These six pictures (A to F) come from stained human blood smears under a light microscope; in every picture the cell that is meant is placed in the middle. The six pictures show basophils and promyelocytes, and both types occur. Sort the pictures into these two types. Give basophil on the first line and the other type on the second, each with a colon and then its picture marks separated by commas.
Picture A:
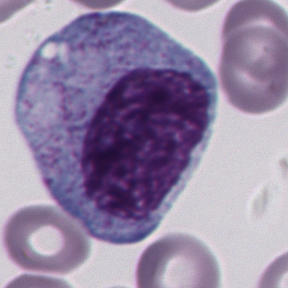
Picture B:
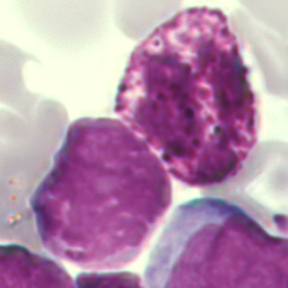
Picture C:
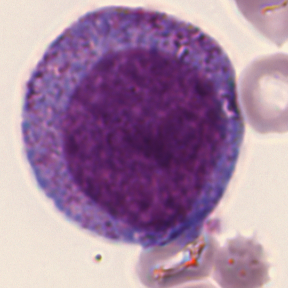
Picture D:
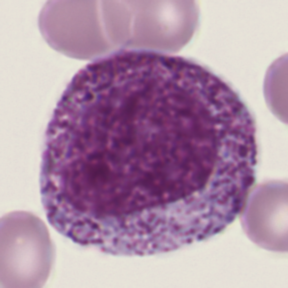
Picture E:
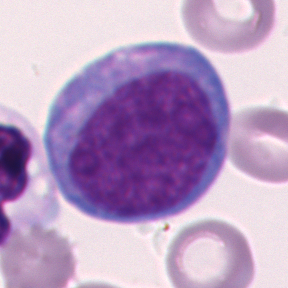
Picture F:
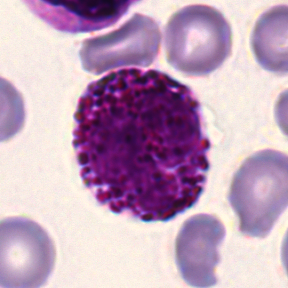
basophil: B, F
promyelocyte: A, C, D, E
